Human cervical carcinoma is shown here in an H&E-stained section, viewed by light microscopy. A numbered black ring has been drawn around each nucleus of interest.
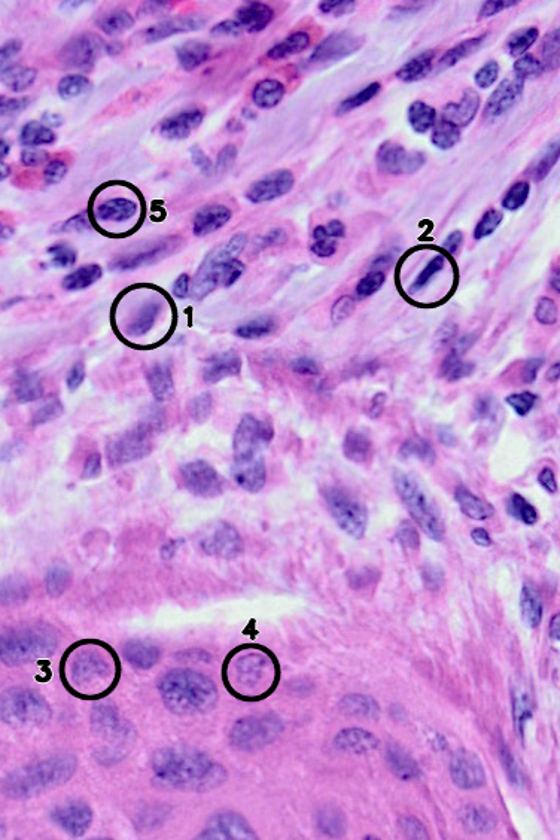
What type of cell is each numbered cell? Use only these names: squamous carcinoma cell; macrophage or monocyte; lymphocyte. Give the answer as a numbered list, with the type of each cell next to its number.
1. macrophage or monocyte
2. lymphocyte
3. squamous carcinoma cell
4. squamous carcinoma cell
5. lymphocyte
